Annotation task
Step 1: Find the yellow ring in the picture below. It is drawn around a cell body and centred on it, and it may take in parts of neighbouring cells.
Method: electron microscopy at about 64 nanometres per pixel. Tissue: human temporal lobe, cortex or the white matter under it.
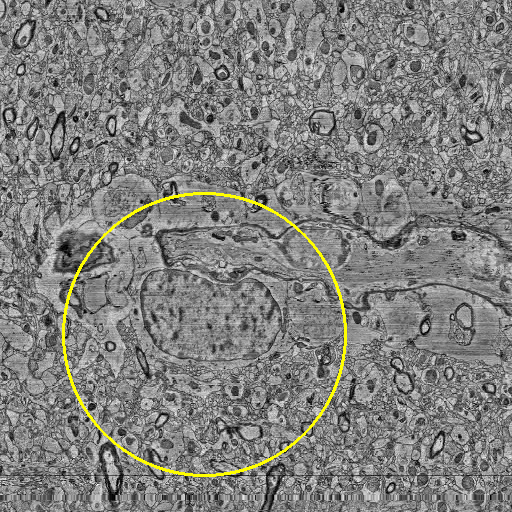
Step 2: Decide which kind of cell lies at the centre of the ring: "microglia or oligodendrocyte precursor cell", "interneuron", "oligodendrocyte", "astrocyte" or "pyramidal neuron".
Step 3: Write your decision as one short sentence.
The kind of cell at the ring's centre is a microglial cell or oligodendrocyte precursor cell.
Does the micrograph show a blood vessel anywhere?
Yes, a blood vessel can be seen.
